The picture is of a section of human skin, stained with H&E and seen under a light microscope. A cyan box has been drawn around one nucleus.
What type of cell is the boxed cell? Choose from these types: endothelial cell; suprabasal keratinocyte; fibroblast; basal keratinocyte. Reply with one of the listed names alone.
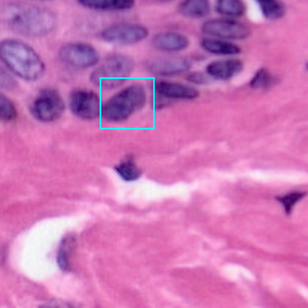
basal keratinocyte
